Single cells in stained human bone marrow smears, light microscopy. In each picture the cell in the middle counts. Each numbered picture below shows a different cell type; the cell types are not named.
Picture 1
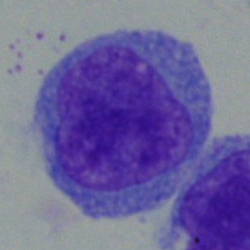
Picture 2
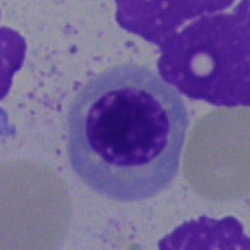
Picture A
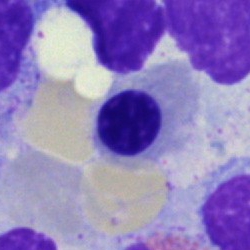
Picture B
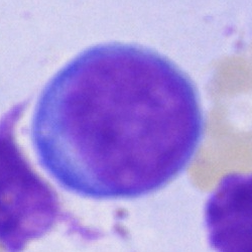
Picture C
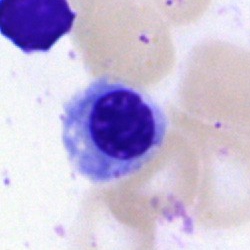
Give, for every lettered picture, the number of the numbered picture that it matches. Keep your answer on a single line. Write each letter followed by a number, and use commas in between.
A 2, B 1, C 2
